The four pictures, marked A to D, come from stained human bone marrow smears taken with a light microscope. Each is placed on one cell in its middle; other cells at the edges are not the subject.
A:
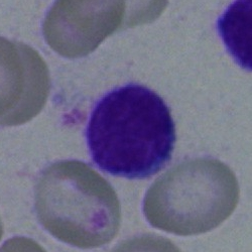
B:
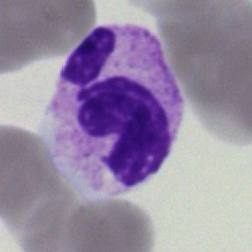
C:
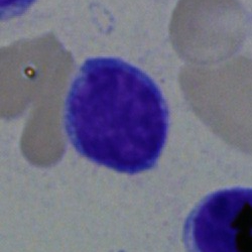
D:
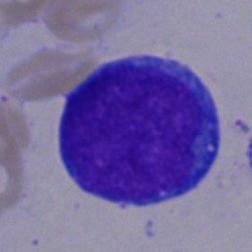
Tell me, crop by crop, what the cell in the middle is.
A: lymphocyte
B: segmented neutrophil
C: lymphocyte
D: blast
